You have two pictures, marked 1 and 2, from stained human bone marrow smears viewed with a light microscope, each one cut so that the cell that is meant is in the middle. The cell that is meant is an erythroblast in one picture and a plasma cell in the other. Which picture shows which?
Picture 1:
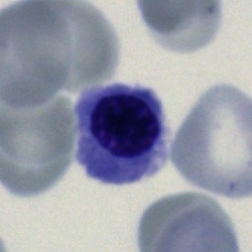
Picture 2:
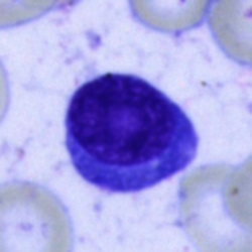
1: erythroblast
2: plasma cell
